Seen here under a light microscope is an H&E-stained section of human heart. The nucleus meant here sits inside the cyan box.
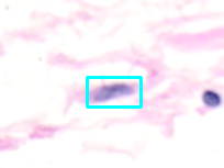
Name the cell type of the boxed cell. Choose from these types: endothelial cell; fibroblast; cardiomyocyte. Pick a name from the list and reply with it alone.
fibroblast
